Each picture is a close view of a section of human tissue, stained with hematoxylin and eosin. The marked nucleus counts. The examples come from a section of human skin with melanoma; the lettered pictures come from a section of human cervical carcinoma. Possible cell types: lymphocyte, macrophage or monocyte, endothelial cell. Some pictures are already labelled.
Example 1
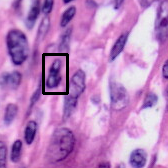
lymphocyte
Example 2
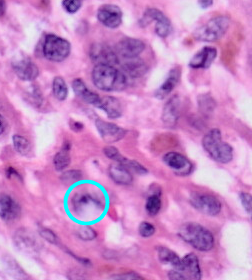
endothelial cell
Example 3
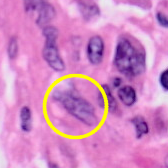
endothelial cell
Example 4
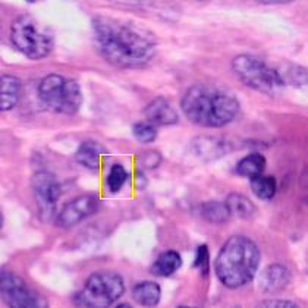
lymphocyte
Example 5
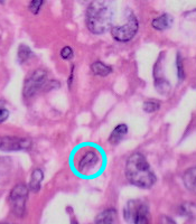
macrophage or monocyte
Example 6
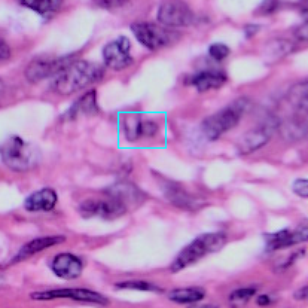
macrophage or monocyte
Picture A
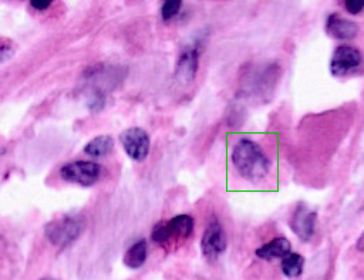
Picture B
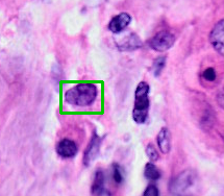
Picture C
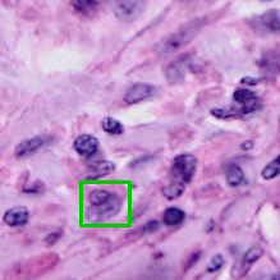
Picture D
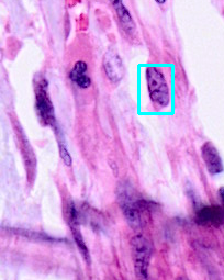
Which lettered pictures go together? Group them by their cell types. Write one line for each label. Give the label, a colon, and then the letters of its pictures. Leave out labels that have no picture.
macrophage or monocyte: A, B, C, D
